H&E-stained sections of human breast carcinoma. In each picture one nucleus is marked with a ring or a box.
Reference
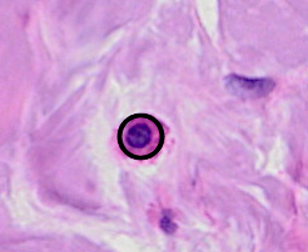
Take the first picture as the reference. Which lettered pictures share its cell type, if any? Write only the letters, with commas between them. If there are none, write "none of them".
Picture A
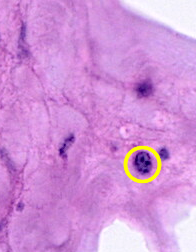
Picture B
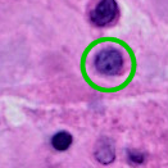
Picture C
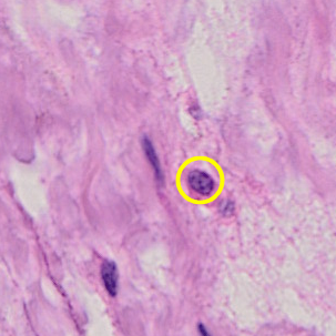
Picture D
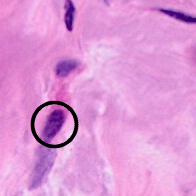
A, B, C, D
